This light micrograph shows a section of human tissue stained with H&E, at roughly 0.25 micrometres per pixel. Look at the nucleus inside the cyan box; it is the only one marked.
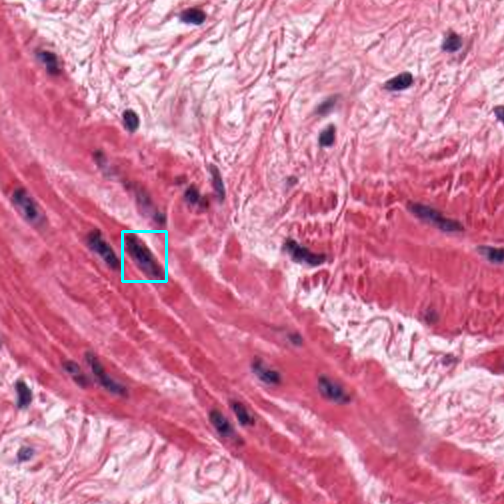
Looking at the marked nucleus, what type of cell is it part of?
smooth muscle cell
